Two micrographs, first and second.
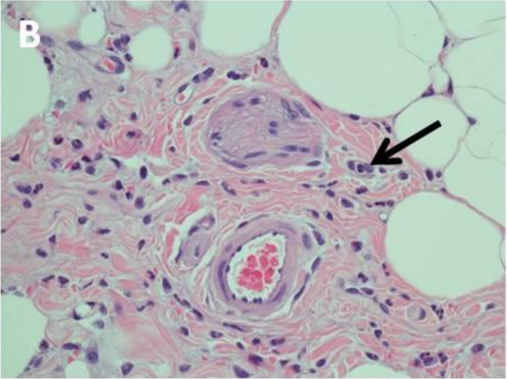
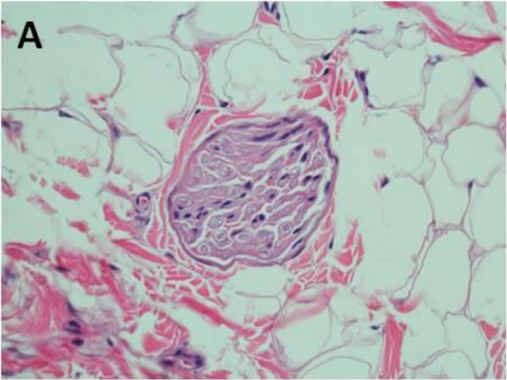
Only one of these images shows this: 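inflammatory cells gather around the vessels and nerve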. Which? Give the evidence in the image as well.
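Second image: a nerve bundle lies in fat with only a few cells around it. First image: many scattered small round nuclei lie in the connective tissue around a vessel and a nerve bundle. The answer: the first image.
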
